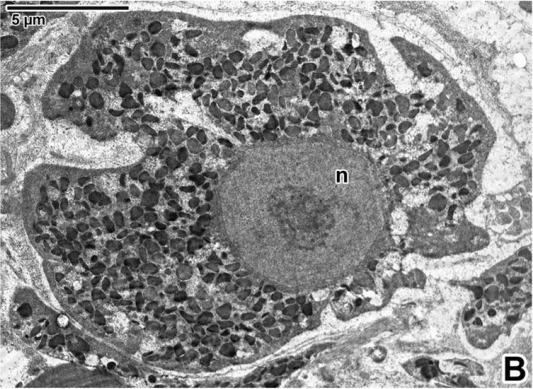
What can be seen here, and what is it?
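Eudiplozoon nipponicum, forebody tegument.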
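A single large cell with an irregular, lobed outline and extensions lies embedded in paler surrounding tissue. Its large round nucleus, with finely granular chromatin and a darker central nucleolus region, sits off-centre. The cytoplasm around it is crowded with numerous small, dense, rounded to oval bodies.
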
